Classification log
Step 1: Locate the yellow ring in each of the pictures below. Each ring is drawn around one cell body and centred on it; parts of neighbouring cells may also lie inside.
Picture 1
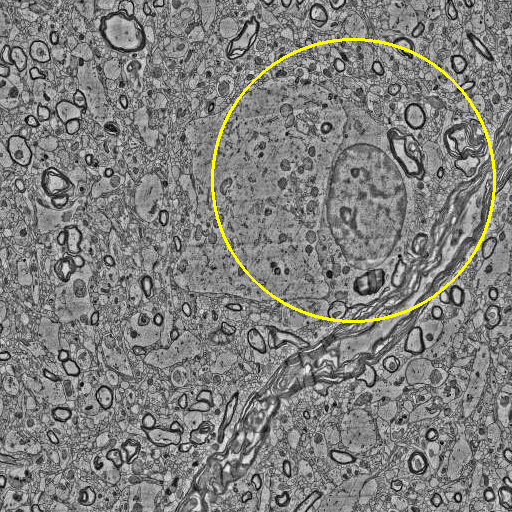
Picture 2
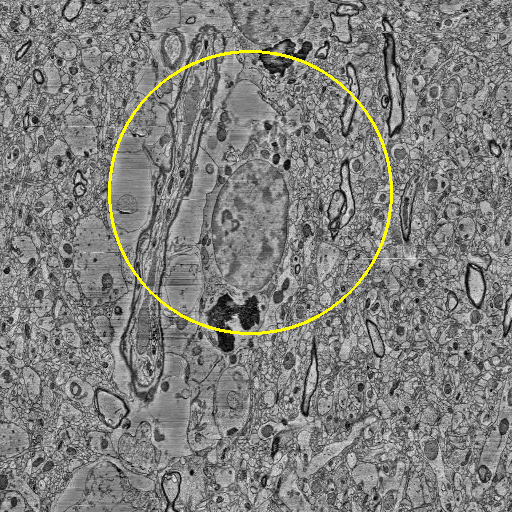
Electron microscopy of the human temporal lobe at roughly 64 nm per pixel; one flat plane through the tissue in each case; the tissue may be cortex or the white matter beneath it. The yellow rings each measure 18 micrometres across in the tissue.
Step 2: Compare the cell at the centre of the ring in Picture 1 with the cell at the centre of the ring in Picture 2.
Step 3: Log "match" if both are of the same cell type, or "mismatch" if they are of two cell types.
match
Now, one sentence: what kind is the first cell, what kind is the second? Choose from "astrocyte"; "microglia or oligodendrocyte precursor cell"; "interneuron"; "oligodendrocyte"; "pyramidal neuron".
Each of the two rings surrounds an oligodendrocyte.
